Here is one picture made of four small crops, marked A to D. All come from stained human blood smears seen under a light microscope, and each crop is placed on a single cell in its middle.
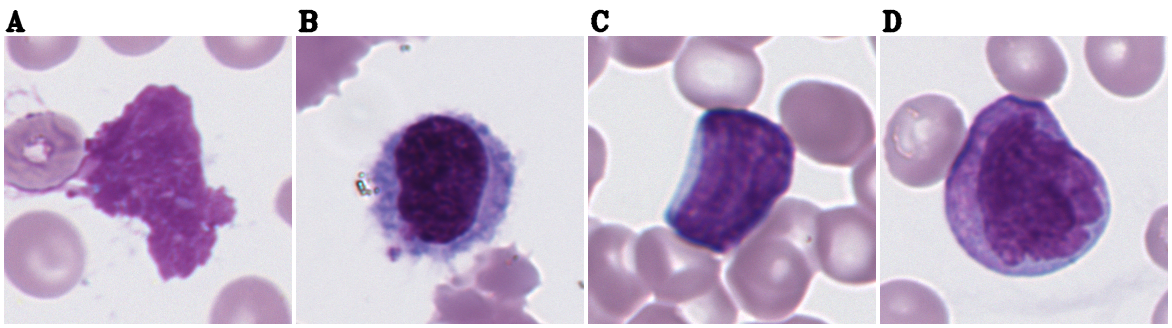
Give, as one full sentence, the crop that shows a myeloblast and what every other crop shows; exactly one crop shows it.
Summary: crop C shows a myeloblast, while crop A is a smudge cell, crop B is a hairy cell and crop D is an atypical promyelocyte.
